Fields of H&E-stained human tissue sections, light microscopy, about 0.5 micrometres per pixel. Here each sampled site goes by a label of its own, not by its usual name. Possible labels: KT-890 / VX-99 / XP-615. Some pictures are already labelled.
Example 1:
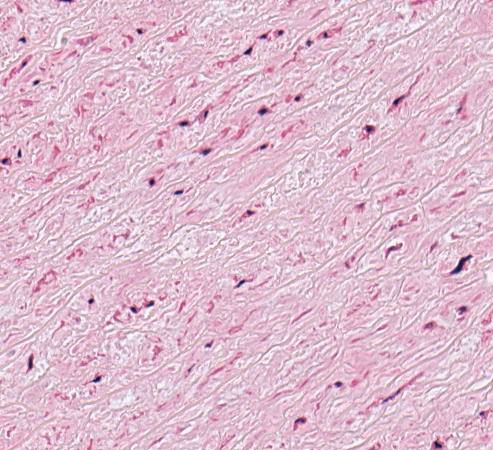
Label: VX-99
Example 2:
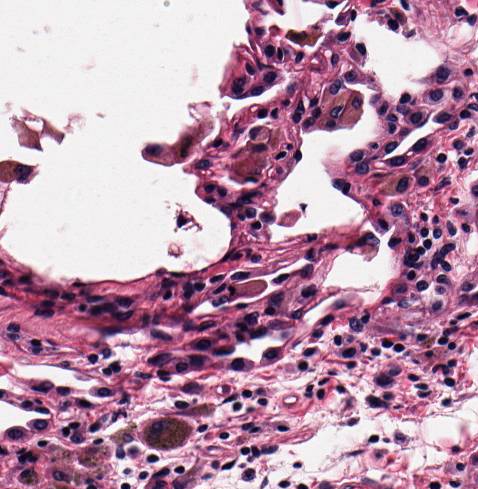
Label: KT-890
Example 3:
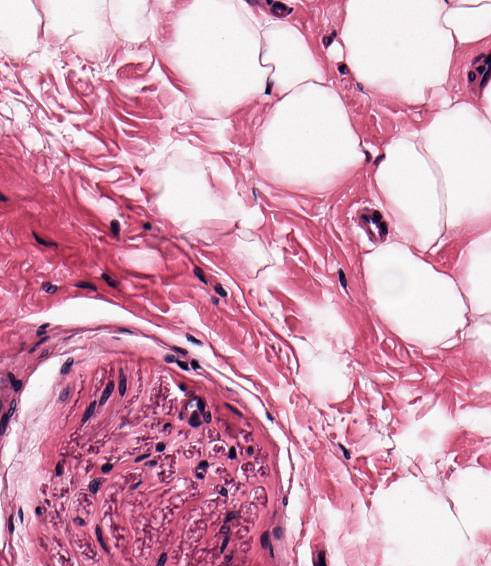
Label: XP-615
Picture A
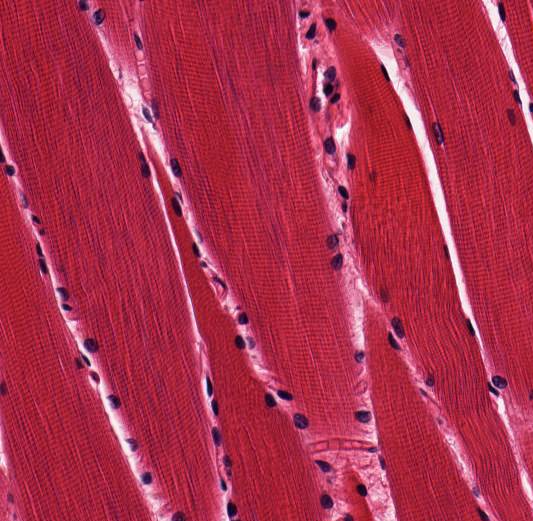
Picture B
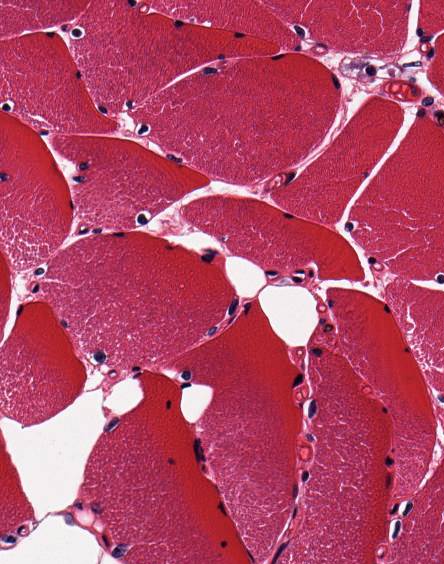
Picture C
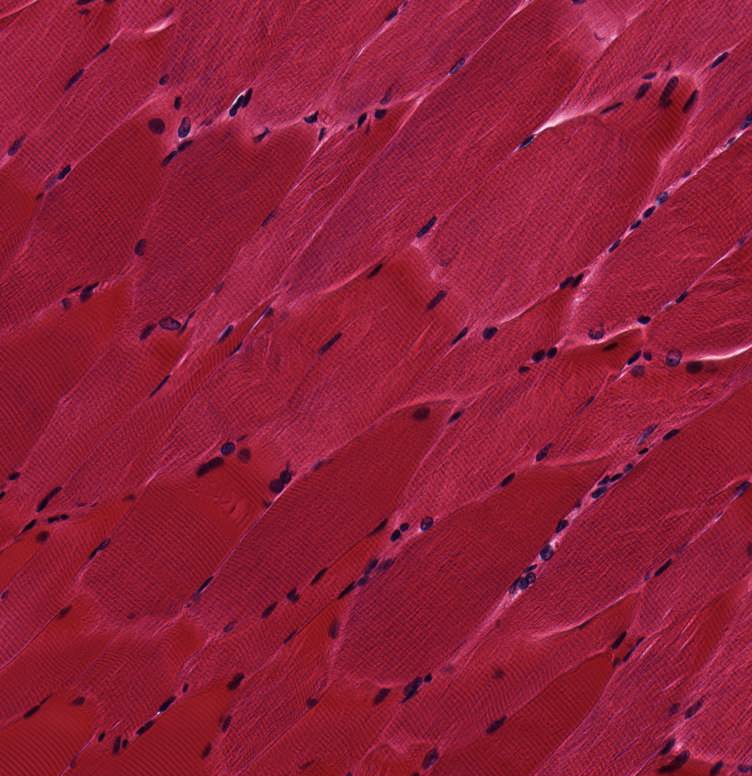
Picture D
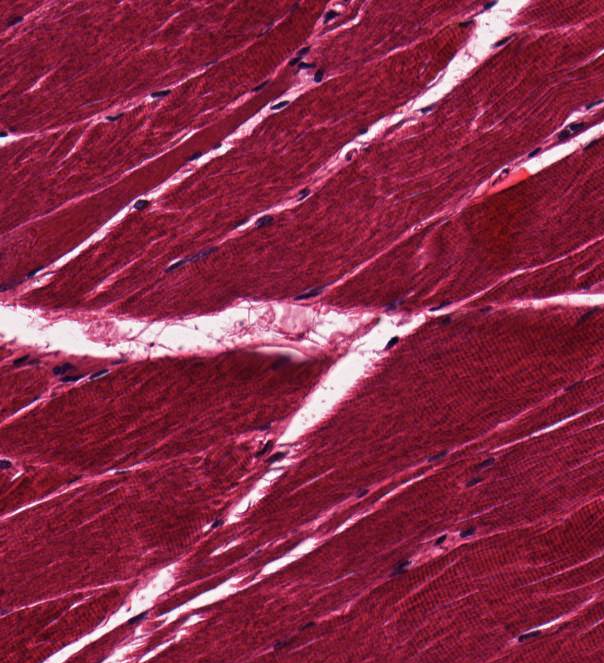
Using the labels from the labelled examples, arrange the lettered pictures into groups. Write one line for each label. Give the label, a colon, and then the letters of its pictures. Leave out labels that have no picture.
XP-615: A, B, C, D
